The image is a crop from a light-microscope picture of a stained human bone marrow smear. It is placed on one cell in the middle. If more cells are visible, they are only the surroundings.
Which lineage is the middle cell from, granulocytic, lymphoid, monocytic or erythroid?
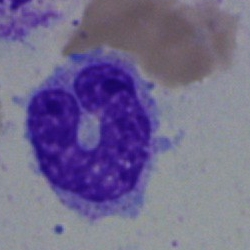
monocytic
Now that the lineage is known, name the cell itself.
monocyte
